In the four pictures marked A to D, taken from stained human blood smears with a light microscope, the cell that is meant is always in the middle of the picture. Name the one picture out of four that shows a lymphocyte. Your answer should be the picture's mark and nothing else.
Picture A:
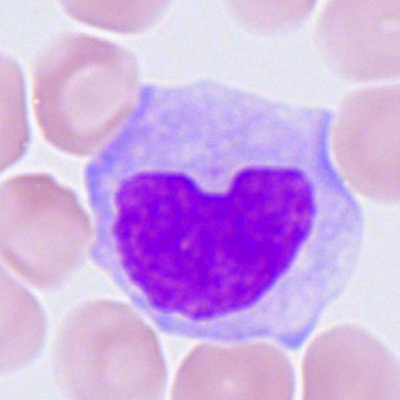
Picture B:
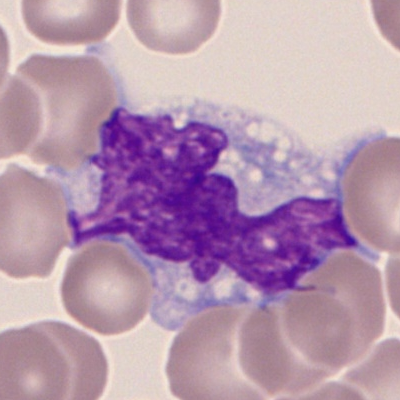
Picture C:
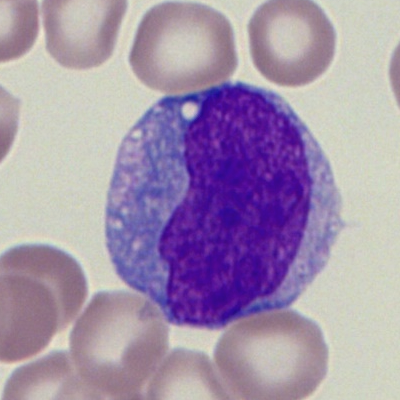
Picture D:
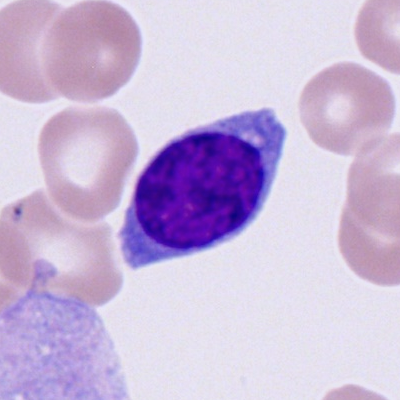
D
